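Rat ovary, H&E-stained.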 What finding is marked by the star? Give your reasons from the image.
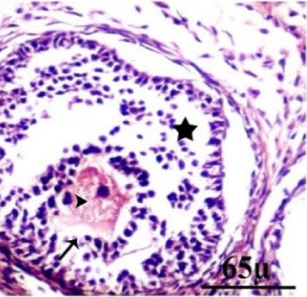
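The cell layer lining the follicle is loosely arranged with irregular gaps. Nuclei are scattered without orderly stratification.
Conclusion: disorganized granulosa layer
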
